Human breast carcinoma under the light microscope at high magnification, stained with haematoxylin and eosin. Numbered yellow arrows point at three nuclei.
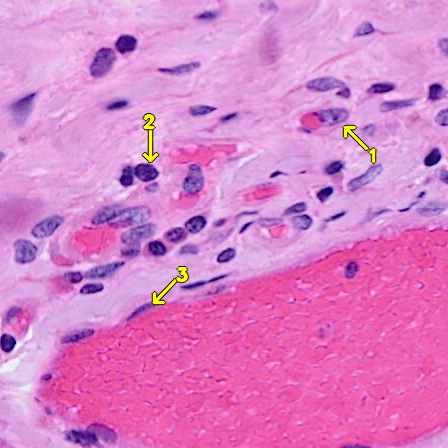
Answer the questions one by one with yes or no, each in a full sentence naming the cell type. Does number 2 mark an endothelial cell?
No, the cell labelled 2 is a lymphocyte and not an endothelial cell.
